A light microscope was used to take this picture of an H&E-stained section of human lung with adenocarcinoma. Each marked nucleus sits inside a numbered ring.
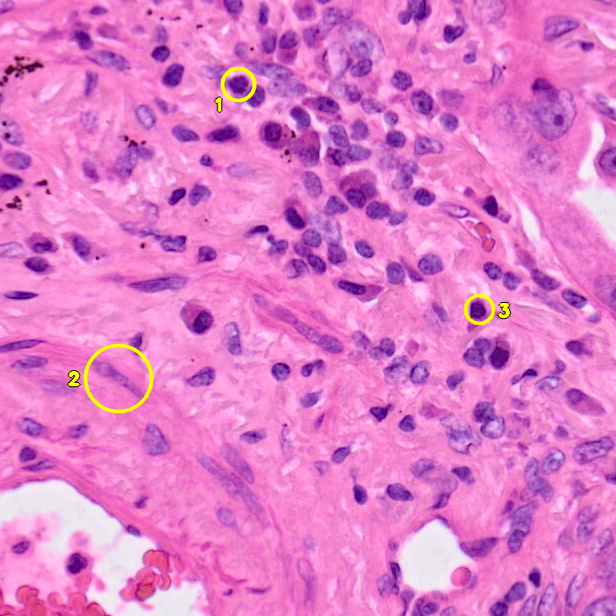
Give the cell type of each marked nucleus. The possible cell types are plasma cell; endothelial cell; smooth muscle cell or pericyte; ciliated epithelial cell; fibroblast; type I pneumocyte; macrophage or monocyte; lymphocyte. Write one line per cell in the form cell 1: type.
cell 1: lymphocyte
cell 2: smooth muscle cell or pericyte
cell 3: plasma cell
